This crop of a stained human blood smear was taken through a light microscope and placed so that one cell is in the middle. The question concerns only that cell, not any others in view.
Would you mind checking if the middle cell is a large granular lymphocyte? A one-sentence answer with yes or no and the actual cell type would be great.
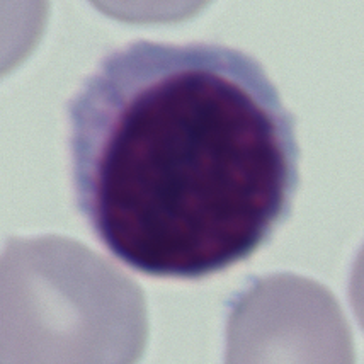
No, the central cell in this crop is a typical lymphocyte and not a large granular lymphocyte.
